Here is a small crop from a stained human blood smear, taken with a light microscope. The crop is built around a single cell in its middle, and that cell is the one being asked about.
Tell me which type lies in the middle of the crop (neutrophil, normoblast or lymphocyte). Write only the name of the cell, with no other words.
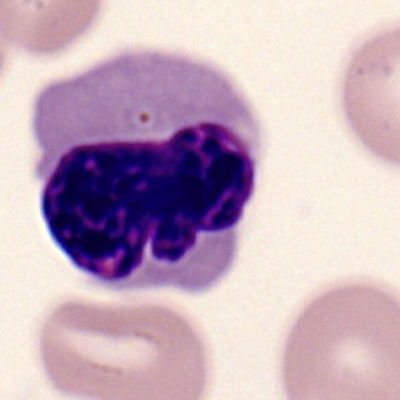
normoblast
